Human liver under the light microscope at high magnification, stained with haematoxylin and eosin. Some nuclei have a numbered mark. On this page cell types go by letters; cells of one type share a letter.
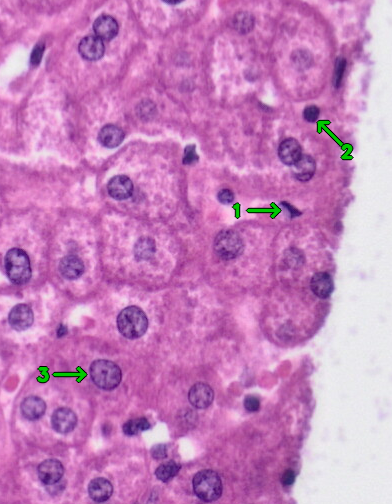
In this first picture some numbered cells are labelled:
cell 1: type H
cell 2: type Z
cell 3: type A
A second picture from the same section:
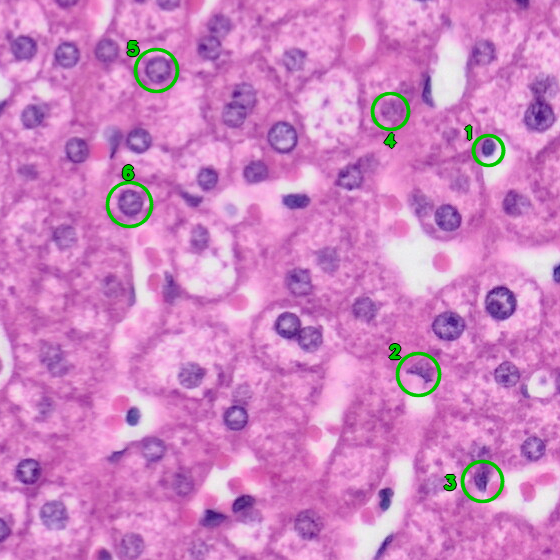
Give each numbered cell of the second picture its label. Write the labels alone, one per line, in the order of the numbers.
type Z
type H
type H
type A
type A
type A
